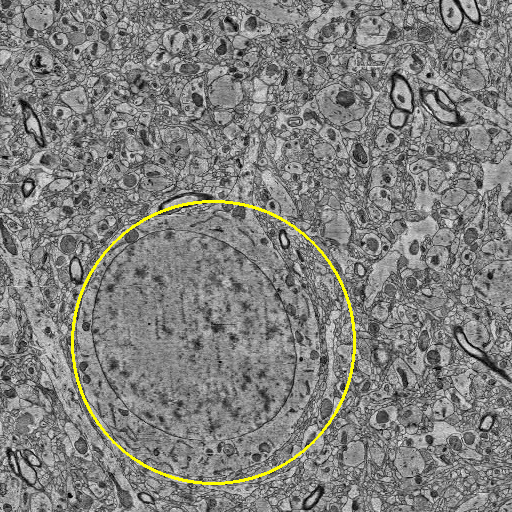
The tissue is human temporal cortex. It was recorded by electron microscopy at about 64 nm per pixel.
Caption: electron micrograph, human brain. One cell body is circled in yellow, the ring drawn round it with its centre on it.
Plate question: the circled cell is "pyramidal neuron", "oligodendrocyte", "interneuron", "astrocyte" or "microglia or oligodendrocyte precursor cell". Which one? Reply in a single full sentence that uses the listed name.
The yellow ring on the plate is centred on a pyramidal neuron, going by the listed names.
